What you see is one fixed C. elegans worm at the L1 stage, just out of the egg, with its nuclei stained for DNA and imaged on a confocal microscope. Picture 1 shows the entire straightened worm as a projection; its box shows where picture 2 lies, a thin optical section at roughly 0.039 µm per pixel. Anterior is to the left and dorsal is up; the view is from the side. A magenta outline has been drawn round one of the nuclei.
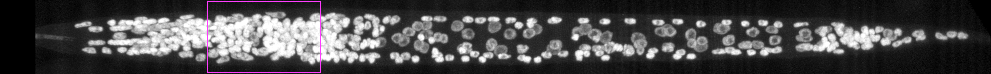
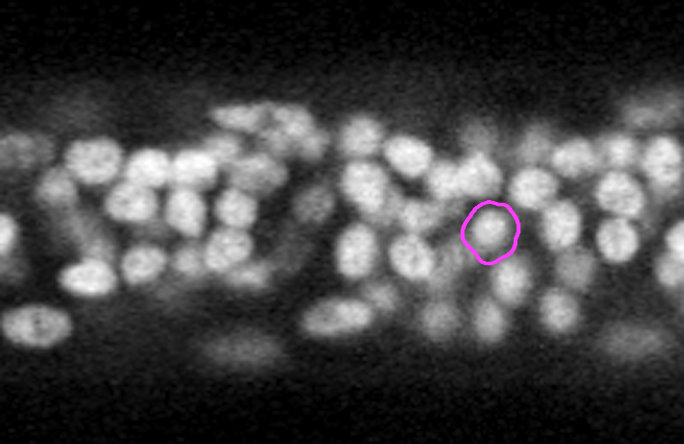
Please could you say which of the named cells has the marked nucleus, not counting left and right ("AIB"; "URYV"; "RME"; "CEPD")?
AIB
